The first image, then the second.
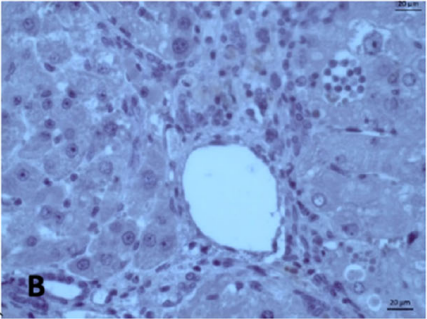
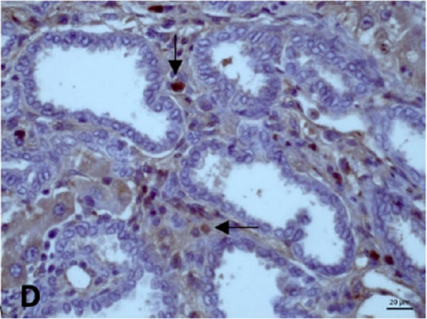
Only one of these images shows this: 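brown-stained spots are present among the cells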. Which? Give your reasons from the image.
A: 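Second image: scattered brown-stained cells and patches lie between the tubular structures, marked by black arrows. First image: the tissue is stained only blue, with no brown spots. That points to this answer: the second image.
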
